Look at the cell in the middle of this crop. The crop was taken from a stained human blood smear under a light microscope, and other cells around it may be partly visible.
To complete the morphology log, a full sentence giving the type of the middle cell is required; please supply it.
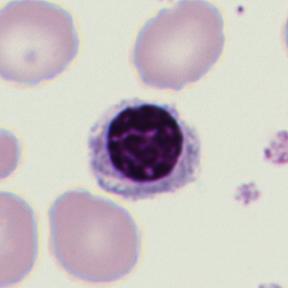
The centered cell in this crop is a normoblast.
